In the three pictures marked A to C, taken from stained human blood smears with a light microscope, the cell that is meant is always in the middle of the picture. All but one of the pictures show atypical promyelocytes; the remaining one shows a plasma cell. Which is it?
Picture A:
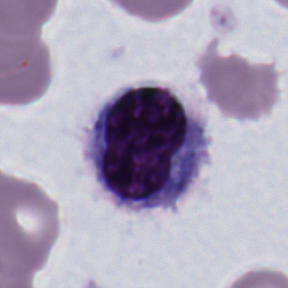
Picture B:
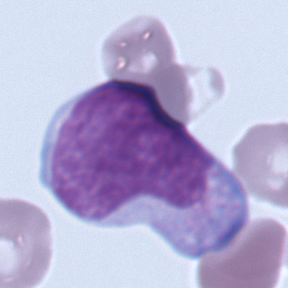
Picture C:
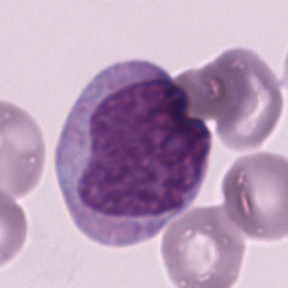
A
